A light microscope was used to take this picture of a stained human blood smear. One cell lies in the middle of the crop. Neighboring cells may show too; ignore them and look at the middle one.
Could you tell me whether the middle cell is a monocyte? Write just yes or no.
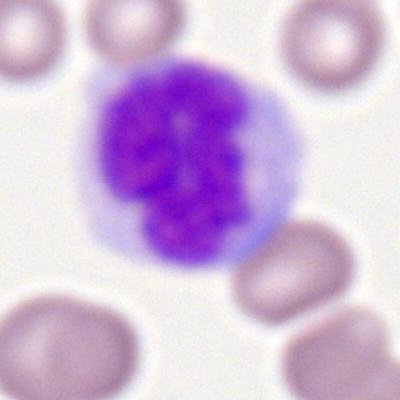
yes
